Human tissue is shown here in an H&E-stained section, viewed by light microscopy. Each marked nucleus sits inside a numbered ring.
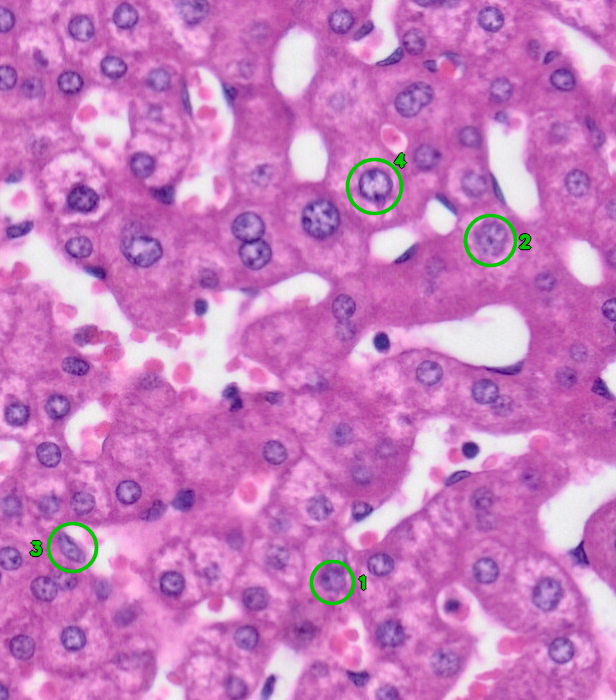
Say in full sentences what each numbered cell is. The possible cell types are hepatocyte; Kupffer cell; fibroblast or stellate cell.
Cell 1 is a hepatocyte, cell 2 is a hepatocyte, cell 3 is a Kupffer cell and cell 4 is a hepatocyte.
